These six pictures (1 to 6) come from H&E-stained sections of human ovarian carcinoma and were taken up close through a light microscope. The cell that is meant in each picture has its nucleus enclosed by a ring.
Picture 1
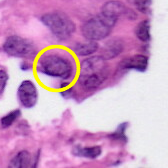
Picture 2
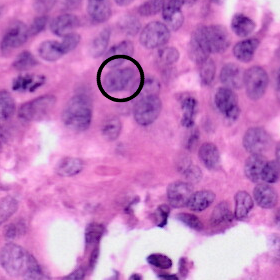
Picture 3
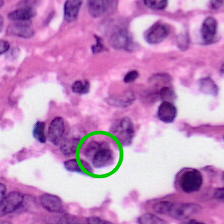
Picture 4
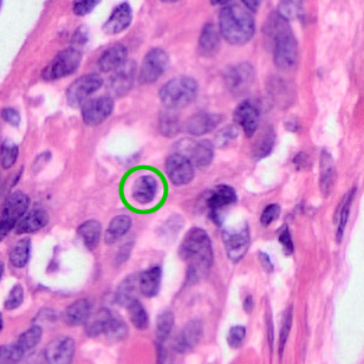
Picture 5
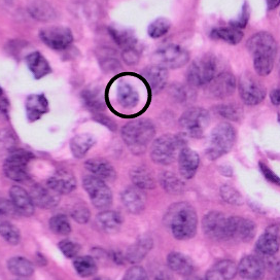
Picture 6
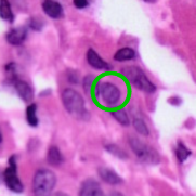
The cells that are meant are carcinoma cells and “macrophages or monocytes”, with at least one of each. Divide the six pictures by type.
1: carcinoma cell
2: carcinoma cell
3: carcinoma cell
4: macrophage or monocyte
5: macrophage or monocyte
6: carcinoma cell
